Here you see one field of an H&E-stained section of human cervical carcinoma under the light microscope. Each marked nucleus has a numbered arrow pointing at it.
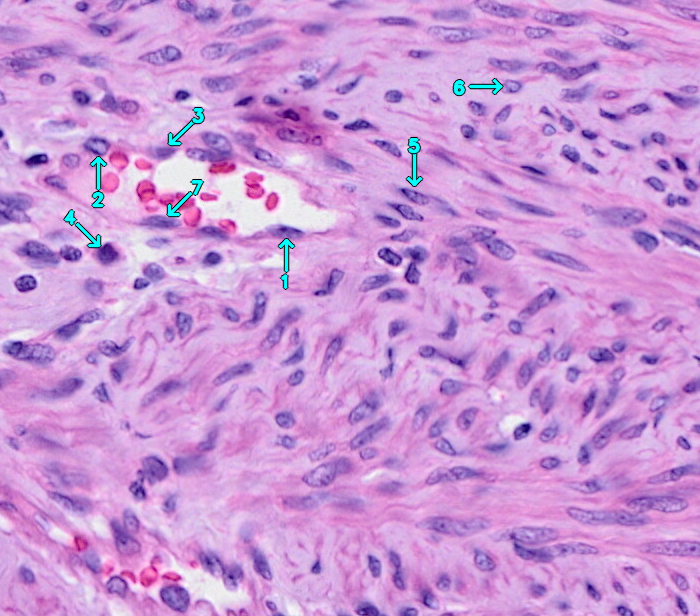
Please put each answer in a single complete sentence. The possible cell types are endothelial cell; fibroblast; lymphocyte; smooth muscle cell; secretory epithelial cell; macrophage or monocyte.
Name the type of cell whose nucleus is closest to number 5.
The cell nearest to number 5 is a fibroblast.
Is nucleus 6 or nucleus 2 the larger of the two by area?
At about 1.5 times the area of nucleus 6, nucleus 2 is the larger of the two.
